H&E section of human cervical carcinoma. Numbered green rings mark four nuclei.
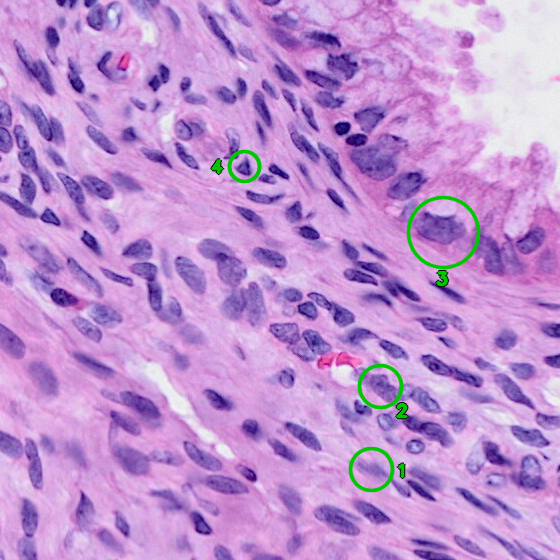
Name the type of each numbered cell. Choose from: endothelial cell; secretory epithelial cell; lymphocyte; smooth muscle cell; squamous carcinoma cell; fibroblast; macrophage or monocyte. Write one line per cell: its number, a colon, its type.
1: fibroblast
2: endothelial cell
3: secretory epithelial cell
4: fibroblast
